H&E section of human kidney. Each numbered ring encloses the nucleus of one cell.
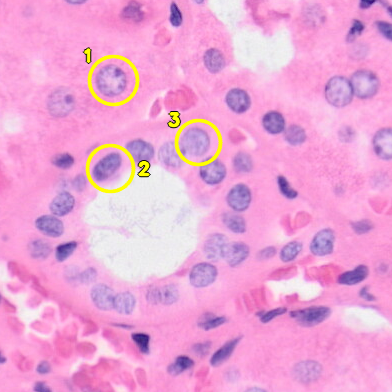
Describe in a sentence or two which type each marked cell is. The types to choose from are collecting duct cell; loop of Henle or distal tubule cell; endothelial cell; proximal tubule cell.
Cell 1 is a proximal tubule cell, cell 2 is a collecting duct cell and cell 3 is a collecting duct cell.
